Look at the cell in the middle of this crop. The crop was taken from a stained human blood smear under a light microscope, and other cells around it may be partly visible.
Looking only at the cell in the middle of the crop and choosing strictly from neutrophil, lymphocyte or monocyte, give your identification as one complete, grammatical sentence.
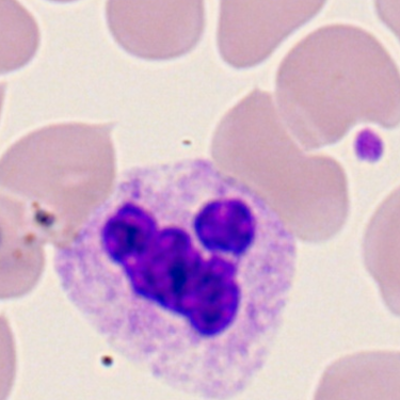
Looking at the middle of the crop, the cell there is a neutrophil.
